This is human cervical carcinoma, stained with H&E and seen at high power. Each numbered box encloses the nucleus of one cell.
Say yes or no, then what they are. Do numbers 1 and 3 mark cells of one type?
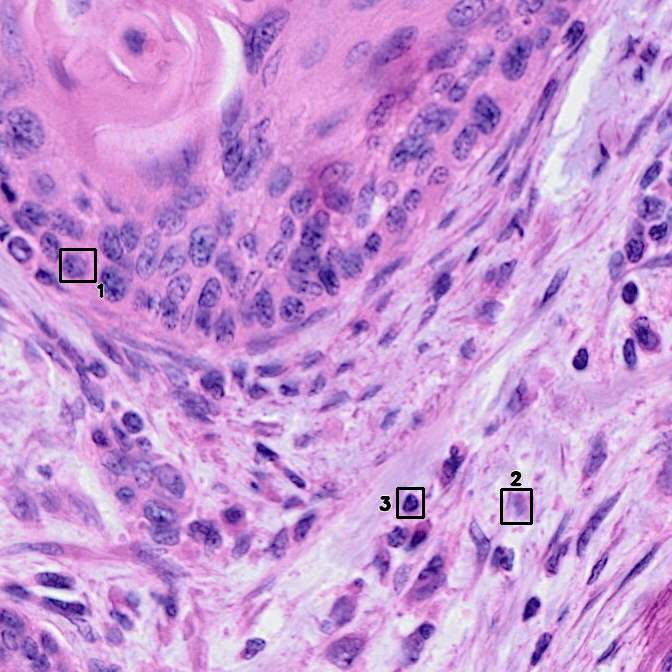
No, just to clarify, cell 1 is a squamous carcinoma cell and cell 3 is a lymphocyte.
